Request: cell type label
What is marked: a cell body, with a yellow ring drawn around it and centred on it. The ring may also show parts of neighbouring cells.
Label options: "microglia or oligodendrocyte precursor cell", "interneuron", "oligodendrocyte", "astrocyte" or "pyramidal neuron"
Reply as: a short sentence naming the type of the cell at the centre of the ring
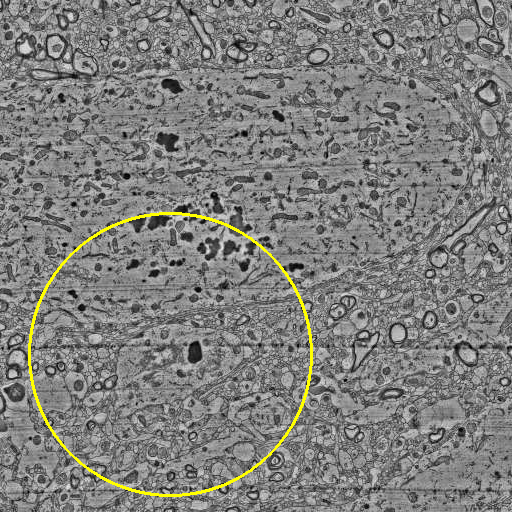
The marked cell body is that of an interneuron.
